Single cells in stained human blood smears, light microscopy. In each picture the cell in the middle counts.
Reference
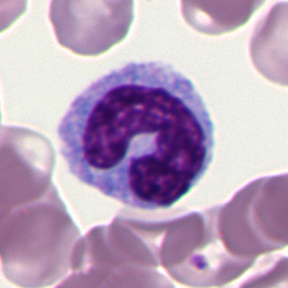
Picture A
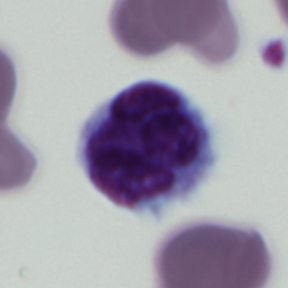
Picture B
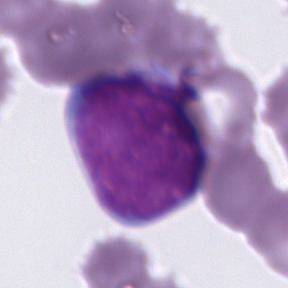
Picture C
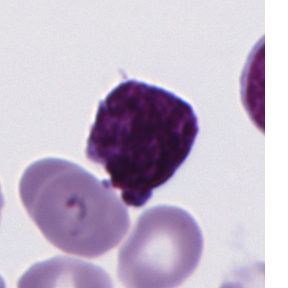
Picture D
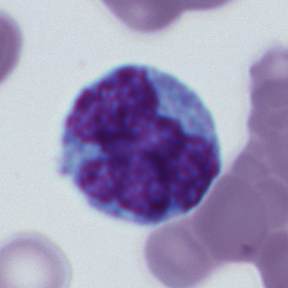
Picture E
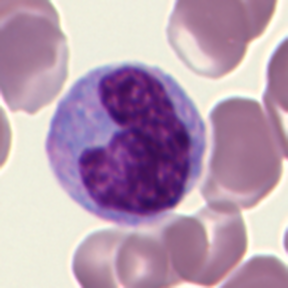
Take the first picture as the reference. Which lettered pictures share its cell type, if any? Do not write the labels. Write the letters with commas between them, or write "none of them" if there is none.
A, D, E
